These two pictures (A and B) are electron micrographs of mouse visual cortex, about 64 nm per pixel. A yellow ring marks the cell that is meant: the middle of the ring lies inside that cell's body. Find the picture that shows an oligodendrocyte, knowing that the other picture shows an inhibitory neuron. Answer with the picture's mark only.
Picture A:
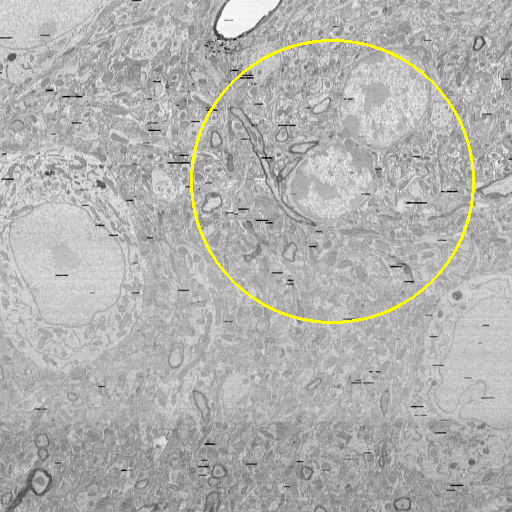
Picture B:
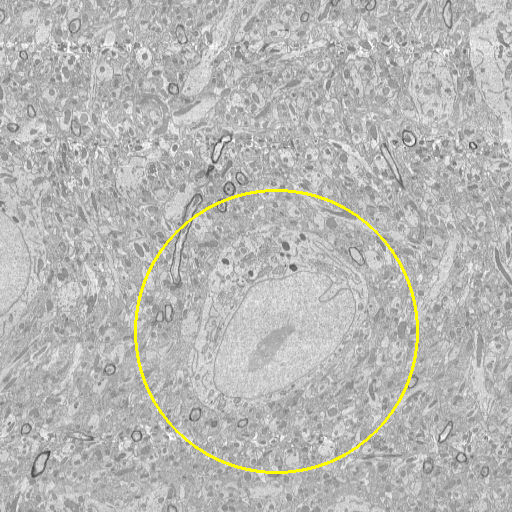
A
